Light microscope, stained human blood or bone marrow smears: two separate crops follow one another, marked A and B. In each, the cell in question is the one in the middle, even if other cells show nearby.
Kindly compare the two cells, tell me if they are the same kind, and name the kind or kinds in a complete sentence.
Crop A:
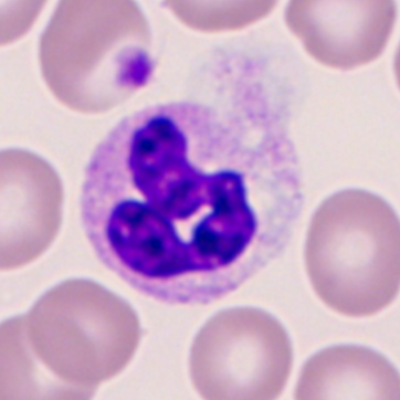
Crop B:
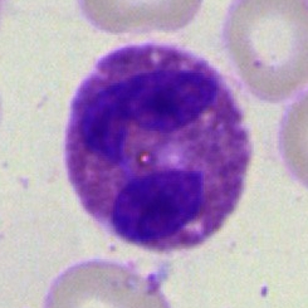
No, it is a segmented neutrophil that crop A shows, and an eosinophil that crop B shows.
